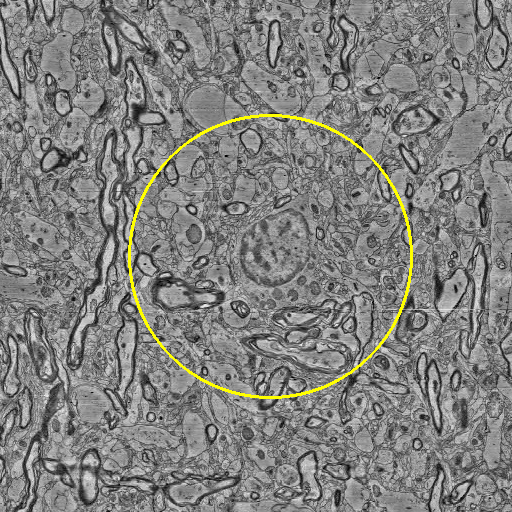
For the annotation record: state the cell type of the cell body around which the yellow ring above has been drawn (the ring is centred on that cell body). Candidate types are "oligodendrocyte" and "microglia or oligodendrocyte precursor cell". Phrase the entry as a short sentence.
The ringed cell is an oligodendrocyte.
